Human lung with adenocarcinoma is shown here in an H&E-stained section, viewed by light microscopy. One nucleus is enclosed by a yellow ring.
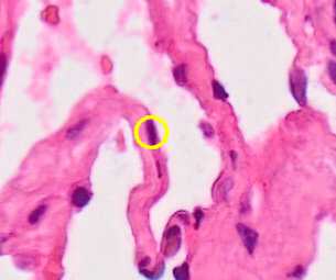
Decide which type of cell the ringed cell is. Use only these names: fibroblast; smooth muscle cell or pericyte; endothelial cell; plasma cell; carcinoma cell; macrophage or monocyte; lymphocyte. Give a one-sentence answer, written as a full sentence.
In this section, the ringed cell is an endothelial cell.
